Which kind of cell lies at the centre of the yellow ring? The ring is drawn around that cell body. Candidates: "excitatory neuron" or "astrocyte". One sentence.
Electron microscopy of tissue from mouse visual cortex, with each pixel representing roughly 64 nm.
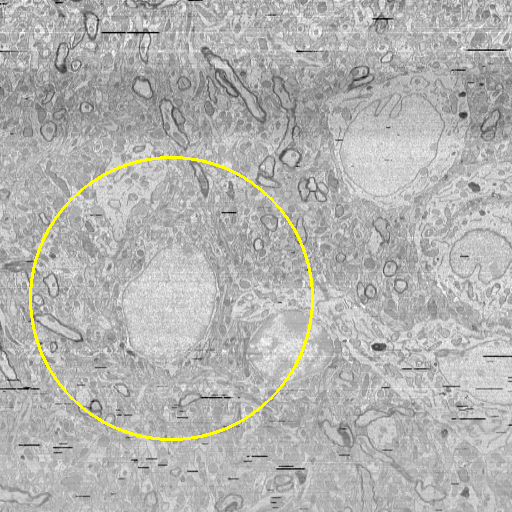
Lying at the centre of the ring is an astrocyte.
